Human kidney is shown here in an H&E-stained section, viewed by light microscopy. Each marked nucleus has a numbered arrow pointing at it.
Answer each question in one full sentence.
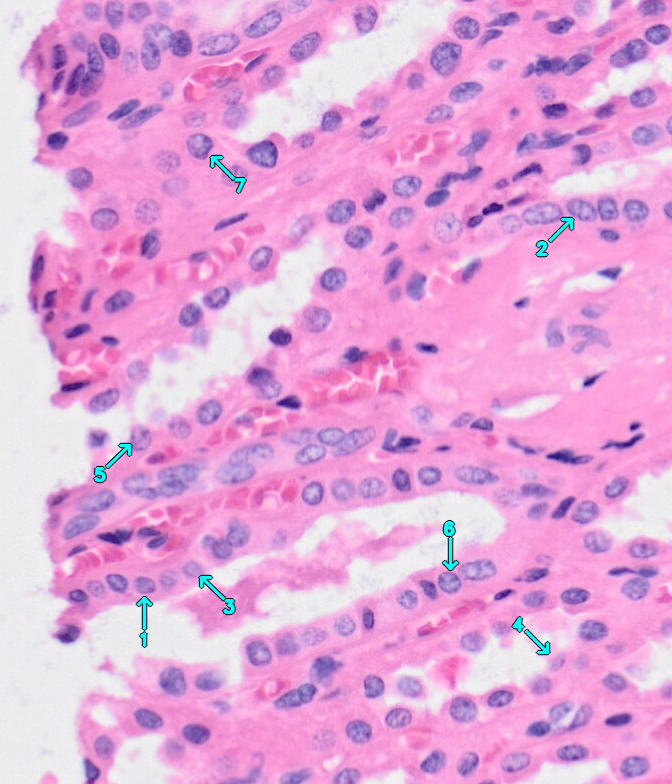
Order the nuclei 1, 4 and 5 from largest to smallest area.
By area, largest first, they run 5, 1, 4.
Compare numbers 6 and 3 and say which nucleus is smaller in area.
Nucleus 3 covers less area, with nucleus 6 about 1.5 times as large.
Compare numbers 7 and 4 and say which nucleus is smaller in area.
Nucleus 4 covers less area, with nucleus 7 about 2.5 times as large.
